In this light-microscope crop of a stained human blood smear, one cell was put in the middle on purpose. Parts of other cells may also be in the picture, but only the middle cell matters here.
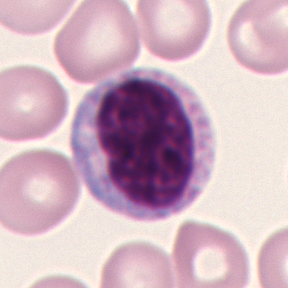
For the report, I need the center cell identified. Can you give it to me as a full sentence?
The cell around which this crop is centred is a metamyelocyte.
